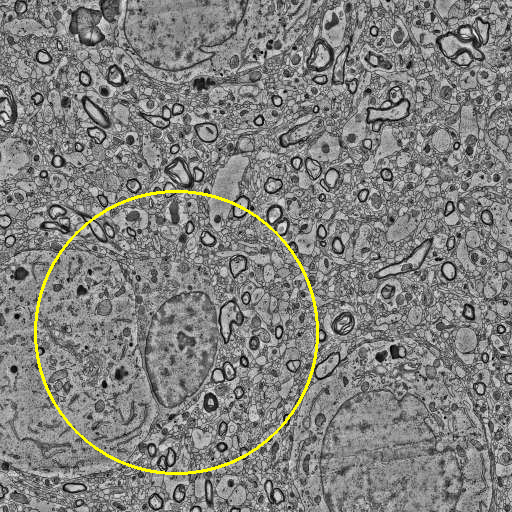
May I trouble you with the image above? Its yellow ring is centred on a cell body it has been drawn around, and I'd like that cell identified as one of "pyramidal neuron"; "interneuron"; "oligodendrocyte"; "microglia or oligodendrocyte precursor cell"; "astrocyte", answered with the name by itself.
oligodendrocyte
